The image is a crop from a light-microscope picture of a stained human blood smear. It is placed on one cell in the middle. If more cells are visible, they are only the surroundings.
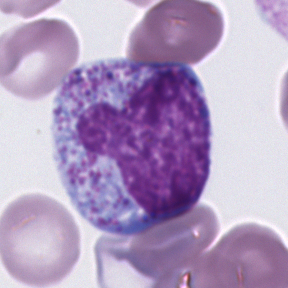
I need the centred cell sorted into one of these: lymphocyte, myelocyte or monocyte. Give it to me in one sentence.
Centred in the crop is a myelocyte.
